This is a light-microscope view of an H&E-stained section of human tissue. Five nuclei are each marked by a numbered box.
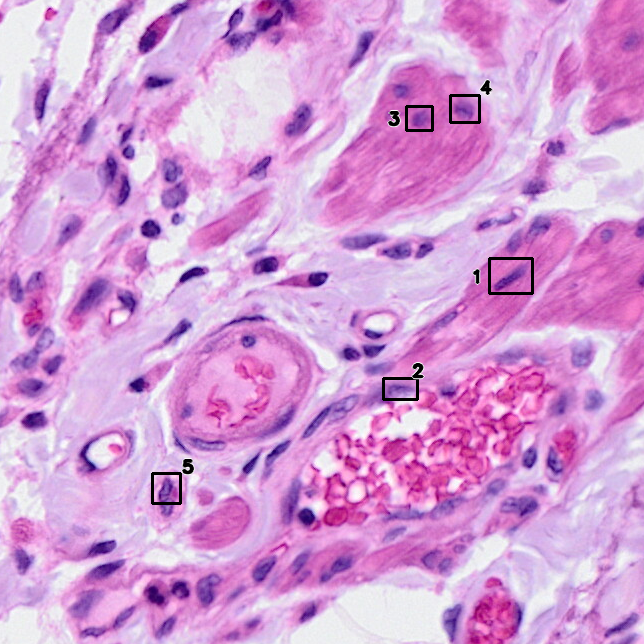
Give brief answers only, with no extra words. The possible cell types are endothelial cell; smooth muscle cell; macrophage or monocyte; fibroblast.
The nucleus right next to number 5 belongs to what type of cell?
endothelial cell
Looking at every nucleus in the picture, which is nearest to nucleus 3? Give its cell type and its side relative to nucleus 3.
a smooth muscle cell, above and to the left of nucleus 3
